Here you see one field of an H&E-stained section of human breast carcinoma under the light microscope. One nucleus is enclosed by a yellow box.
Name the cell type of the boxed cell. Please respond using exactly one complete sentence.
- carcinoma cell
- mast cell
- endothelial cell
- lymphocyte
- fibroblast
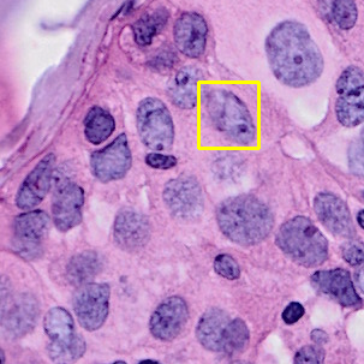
In the tissue under study, the boxed cell is a carcinoma cell.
